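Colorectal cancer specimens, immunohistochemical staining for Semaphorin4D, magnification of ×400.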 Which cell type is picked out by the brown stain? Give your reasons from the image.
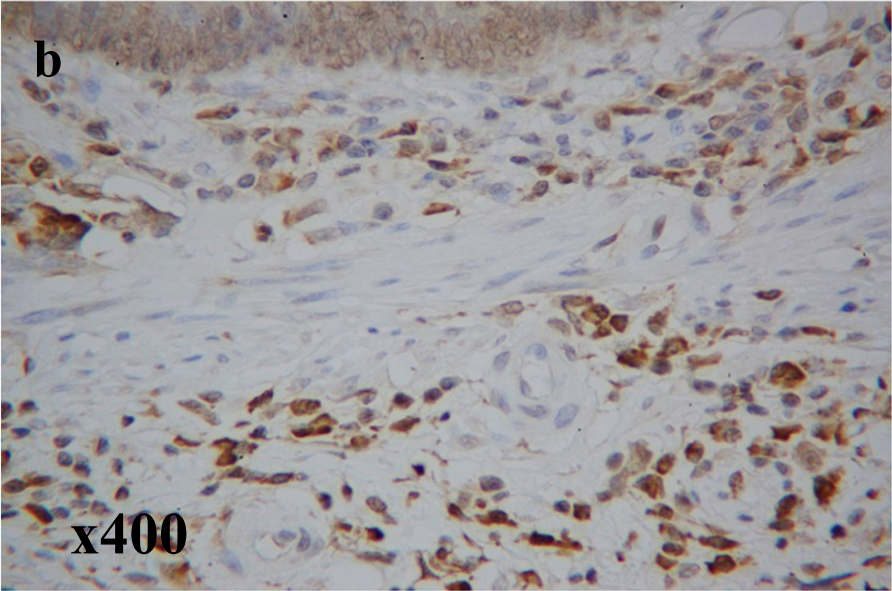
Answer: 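Inflammatory cells. Many small, rounded single cells with dark brown cytoplasm lie scattered in the connective tissue. The brown cells sit loosely among pale spindle-shaped stromal cells with blue nuclei. A columnar epithelial layer runs along the top edge, apart from these cells.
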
